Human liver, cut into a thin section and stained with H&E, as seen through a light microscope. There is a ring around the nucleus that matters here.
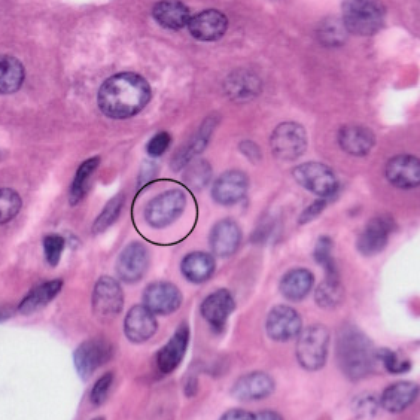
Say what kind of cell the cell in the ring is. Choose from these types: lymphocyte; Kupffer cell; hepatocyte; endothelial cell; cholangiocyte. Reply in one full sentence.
The identity of the cell in the ring: it is a cholangiocyte.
